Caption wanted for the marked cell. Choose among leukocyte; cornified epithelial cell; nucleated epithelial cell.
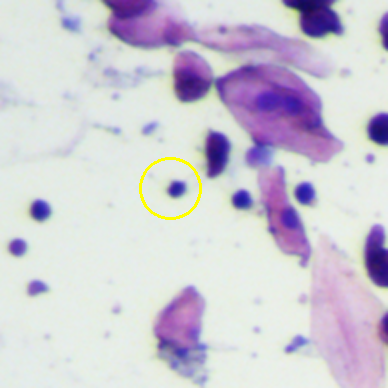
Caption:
Ringed in yellow is a leukocyte.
